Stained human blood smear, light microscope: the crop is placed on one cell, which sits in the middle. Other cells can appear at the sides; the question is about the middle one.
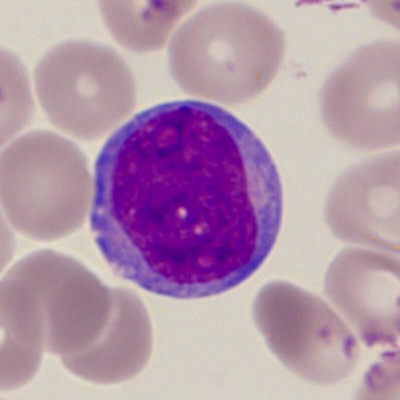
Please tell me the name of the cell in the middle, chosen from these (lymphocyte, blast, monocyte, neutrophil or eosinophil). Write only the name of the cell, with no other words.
blast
